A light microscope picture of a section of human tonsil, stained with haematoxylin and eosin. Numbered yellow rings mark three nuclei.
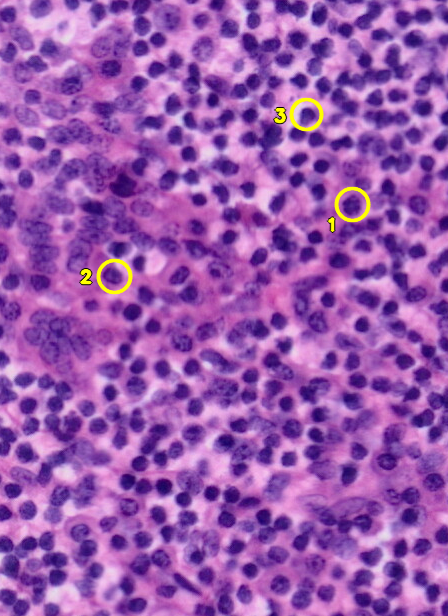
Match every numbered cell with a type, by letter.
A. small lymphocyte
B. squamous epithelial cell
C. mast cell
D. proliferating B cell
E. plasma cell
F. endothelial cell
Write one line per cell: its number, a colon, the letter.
1: E
2: E
3: A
